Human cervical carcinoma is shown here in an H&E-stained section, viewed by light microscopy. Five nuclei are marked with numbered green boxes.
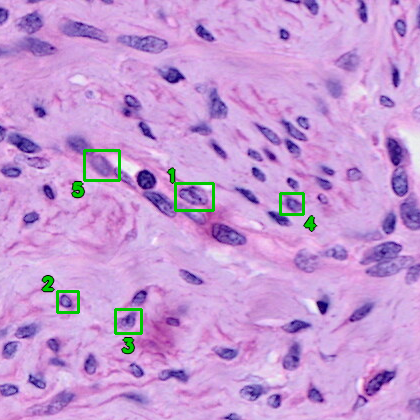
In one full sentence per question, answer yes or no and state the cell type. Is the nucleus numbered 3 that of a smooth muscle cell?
Yes, the cell carrying number 3 is a smooth muscle cell.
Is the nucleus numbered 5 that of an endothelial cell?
Yes, the cell tagged with number 5 is an endothelial cell.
